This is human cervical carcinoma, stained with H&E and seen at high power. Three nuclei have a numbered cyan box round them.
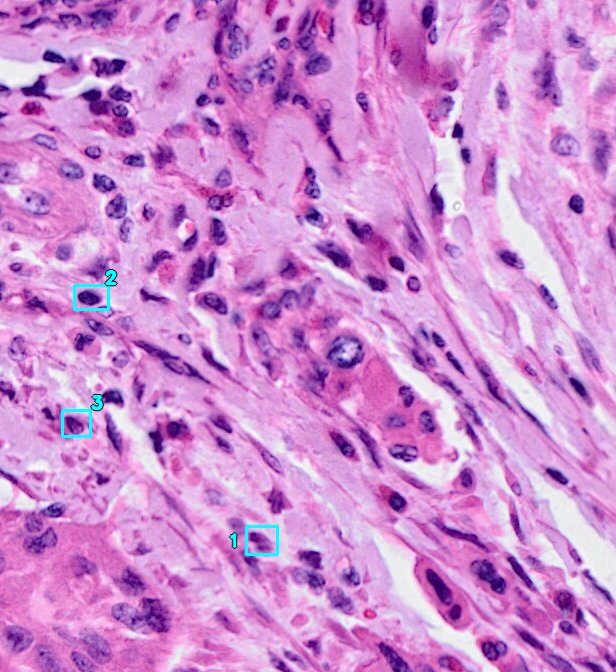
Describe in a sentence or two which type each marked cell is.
Cell 1 is a fibroblast. Cell 2 is a lymphocyte. Cell 3 is a macrophage or monocyte.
